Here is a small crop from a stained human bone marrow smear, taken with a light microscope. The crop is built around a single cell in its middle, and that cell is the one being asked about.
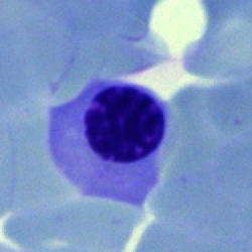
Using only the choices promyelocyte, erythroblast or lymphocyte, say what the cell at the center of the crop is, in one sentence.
In the center of this field lies an erythroblast.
